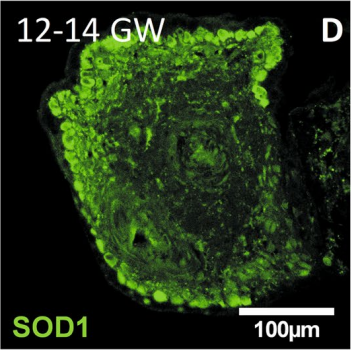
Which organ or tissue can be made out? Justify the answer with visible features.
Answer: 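A stromal core containing a vessel-like ring structure. That points to this answer: chorionic villi.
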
